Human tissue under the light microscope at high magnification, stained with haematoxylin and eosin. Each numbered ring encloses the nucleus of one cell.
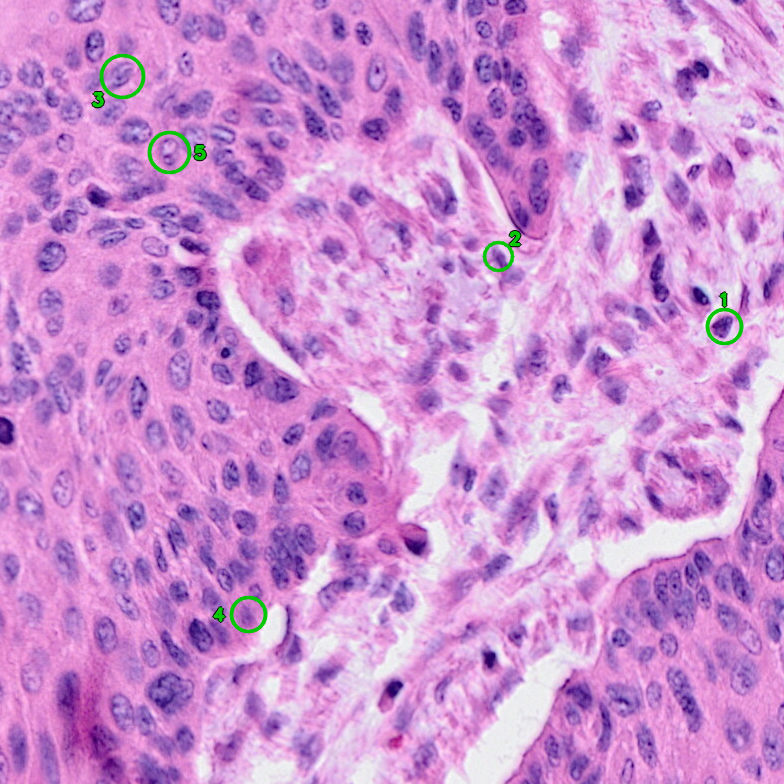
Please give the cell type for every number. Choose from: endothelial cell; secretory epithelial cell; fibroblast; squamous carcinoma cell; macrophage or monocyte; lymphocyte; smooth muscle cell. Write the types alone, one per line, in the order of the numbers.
lymphocyte
fibroblast
squamous carcinoma cell
squamous carcinoma cell
squamous carcinoma cell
